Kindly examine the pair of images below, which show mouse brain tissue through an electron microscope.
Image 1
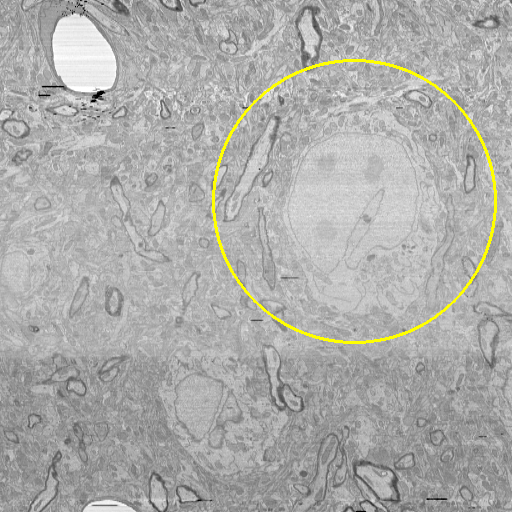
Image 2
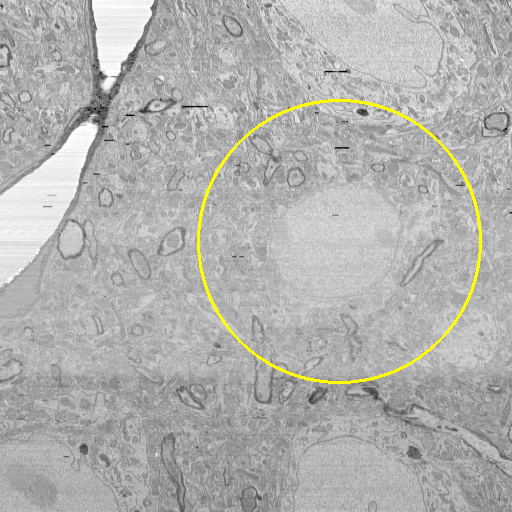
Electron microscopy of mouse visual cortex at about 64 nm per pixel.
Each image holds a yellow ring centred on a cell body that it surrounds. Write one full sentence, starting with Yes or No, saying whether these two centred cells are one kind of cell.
No, the cells at the centres of the yellow rings belong to two kinds of cell.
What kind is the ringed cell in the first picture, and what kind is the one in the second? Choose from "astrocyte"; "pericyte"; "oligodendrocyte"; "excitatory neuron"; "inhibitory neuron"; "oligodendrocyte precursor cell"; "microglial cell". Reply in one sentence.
The first cell is an excitatory neuron; the second is an astrocyte.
